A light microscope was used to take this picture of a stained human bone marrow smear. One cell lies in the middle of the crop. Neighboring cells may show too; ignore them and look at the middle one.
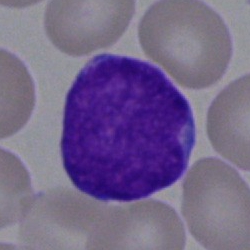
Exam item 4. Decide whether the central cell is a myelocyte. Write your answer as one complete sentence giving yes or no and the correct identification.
No, the central cell is reported as a blast rather than as a myelocyte.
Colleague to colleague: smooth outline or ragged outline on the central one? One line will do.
There are no projections here; the outline is simply smooth.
